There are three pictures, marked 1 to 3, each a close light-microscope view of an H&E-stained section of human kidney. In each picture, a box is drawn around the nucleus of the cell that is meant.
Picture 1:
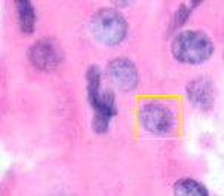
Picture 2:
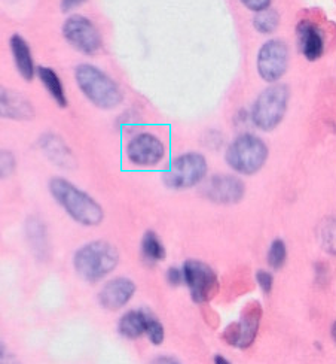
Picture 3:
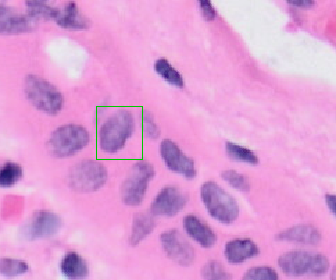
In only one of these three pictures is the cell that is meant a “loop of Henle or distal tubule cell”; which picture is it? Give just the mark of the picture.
1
